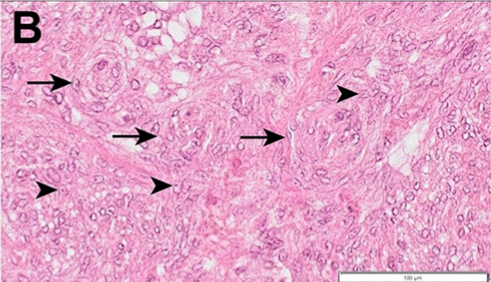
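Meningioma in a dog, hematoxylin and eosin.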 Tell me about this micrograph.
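Neoplastic meningothelial cells grow in solid sheets with indistinct cell borders, giving a syncytial look. The cytoplasm is pale pink and moderately abundant. Scattered through the sheets are small concentric whorls of cells wrapped around one another. Thin pink fibrous strands run between groups of cells.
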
